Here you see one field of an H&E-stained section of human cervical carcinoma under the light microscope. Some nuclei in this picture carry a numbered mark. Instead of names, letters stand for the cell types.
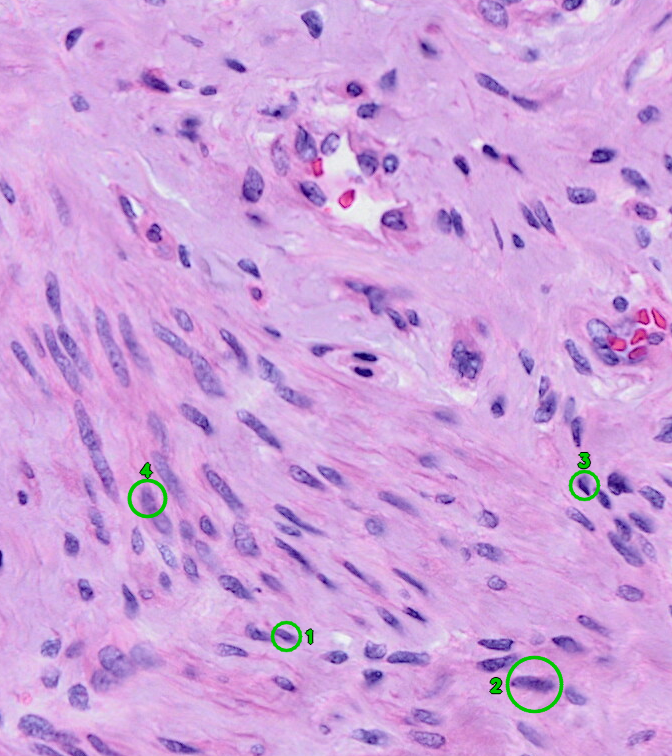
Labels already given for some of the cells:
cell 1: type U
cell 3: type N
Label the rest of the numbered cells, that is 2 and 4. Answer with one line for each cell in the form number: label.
2: type N
4: type U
